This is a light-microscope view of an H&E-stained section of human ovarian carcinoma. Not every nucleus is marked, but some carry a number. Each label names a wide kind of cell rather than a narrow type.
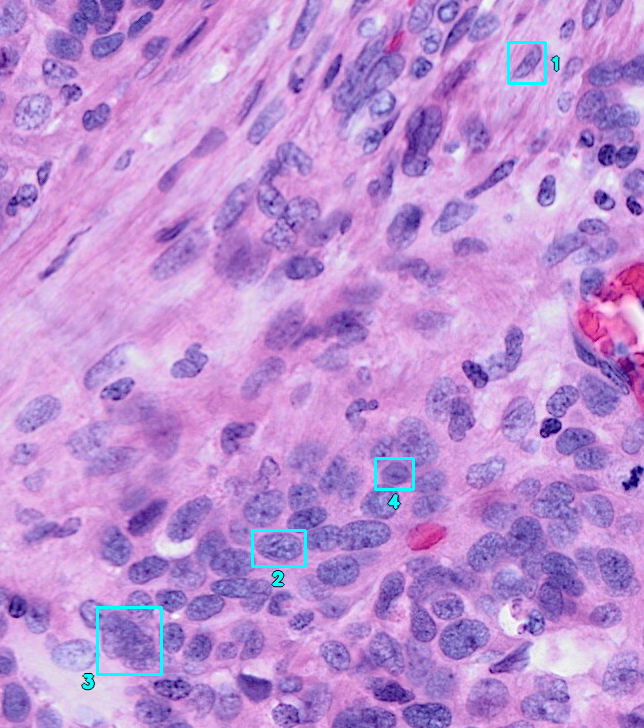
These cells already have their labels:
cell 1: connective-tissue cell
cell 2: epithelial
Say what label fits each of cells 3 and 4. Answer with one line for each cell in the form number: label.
3: epithelial
4: epithelial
